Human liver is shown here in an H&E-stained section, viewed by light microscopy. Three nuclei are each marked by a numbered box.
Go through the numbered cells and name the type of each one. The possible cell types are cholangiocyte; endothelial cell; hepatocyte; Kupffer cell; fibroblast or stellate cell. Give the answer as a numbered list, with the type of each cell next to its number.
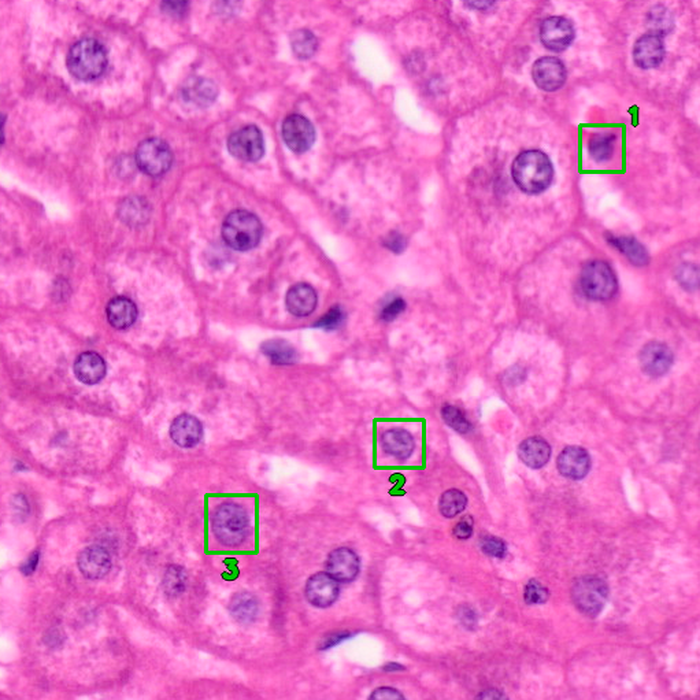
1. endothelial cell
2. hepatocyte
3. hepatocyte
